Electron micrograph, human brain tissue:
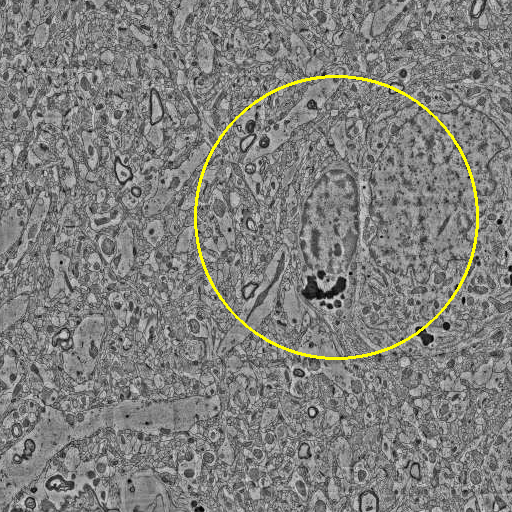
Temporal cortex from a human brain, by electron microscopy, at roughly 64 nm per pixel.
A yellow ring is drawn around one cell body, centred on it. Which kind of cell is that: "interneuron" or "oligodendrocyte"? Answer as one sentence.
It is an oligodendrocyte at the centre of the ring.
